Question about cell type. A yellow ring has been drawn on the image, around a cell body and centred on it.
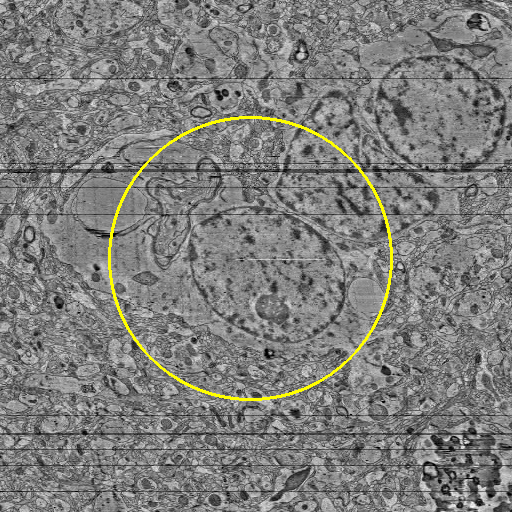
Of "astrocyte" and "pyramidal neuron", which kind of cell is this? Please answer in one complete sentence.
At the centre of the ring lies an astrocyte.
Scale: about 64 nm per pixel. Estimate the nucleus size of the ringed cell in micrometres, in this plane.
The nucleus of the ringed cell is approximately 11 by 8 micrometres in this plane.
